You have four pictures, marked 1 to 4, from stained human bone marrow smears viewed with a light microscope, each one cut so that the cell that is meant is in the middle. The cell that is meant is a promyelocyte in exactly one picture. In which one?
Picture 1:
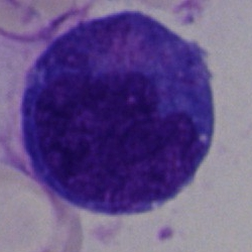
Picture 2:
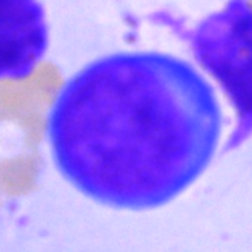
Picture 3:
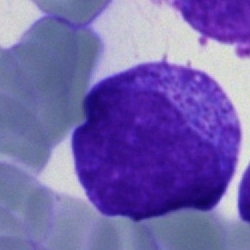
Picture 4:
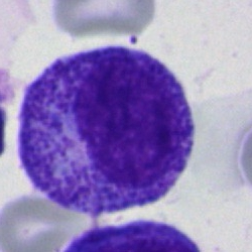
4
